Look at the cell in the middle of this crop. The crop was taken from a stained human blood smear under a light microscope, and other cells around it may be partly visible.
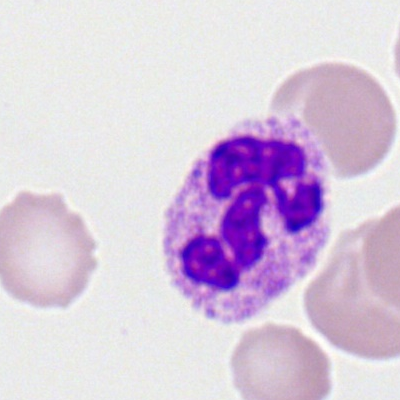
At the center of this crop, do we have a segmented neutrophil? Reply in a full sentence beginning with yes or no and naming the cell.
Yes, a segmented neutrophil is present in the middle of the crop.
